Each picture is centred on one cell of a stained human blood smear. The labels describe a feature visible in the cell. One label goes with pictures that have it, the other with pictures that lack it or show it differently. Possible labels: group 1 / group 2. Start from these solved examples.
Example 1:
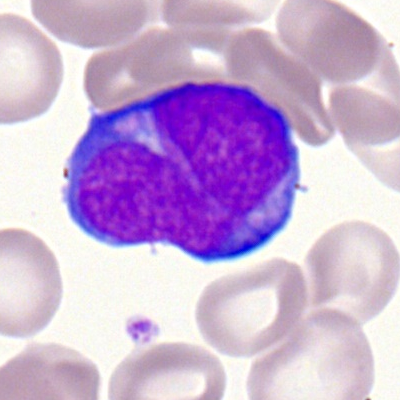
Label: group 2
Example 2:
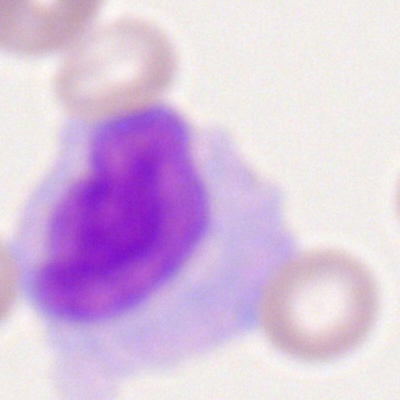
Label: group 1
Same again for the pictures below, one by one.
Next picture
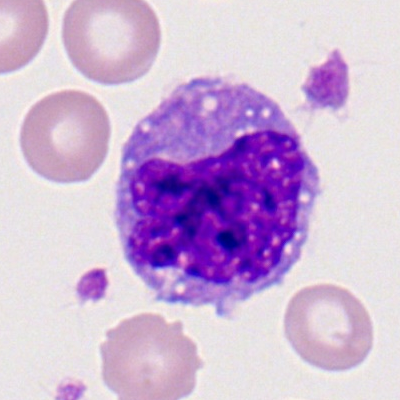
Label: group 1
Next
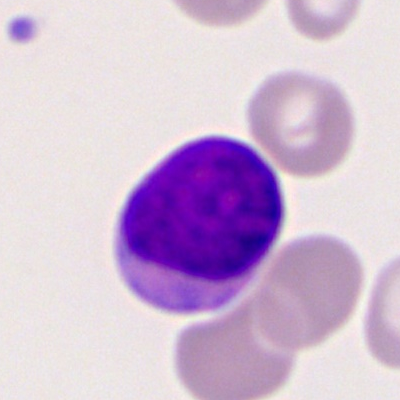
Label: group 2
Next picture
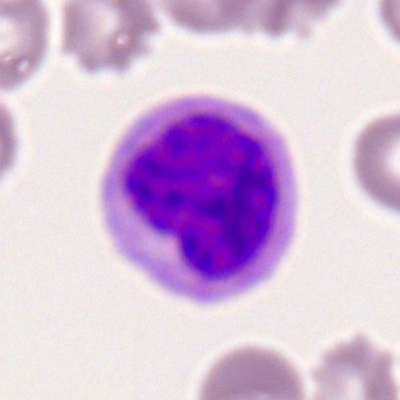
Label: group 2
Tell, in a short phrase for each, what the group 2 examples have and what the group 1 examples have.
In group 2: scant cytoplasm. In group 1: abundant cytoplasm.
